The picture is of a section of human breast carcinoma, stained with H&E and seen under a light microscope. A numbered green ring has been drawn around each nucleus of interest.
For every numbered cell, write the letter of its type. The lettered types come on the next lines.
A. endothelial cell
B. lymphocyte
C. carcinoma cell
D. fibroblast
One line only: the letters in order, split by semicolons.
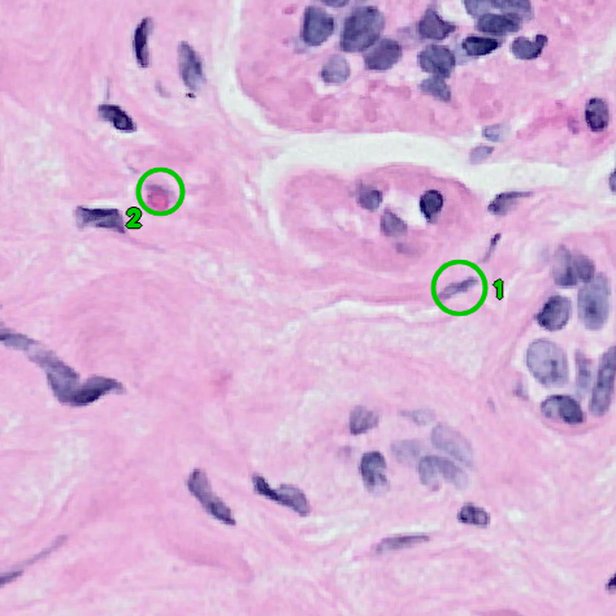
D; A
